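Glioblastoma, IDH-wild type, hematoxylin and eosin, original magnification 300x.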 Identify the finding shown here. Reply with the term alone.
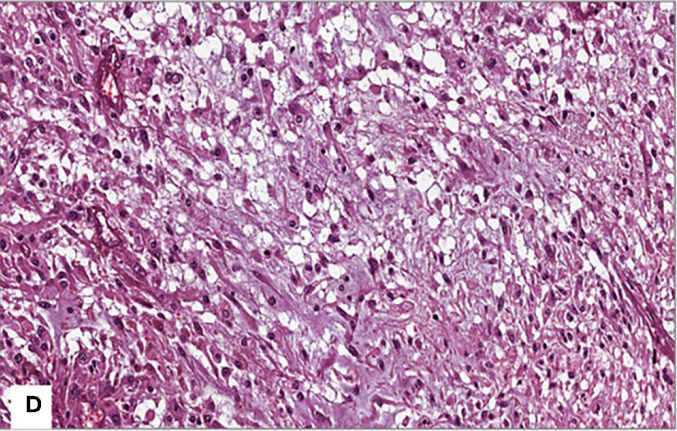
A: loose, myxoid background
